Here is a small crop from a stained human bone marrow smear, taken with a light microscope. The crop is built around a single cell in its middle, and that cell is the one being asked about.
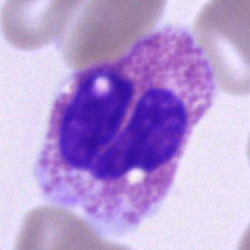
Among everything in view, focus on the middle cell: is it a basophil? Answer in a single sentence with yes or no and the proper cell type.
No, the central cell is an eosinophil; it should not be labelled a basophil.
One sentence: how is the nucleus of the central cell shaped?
If you check the nucleus, you will find it split into two or more lobes.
